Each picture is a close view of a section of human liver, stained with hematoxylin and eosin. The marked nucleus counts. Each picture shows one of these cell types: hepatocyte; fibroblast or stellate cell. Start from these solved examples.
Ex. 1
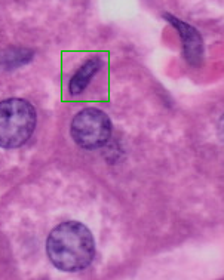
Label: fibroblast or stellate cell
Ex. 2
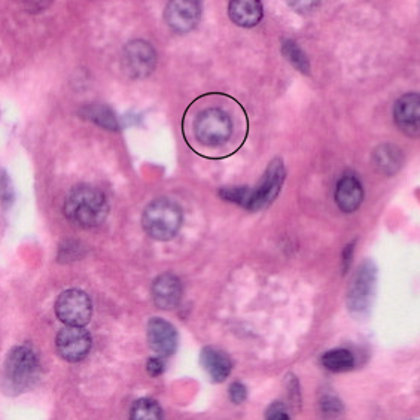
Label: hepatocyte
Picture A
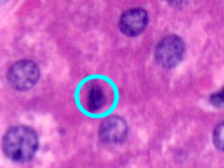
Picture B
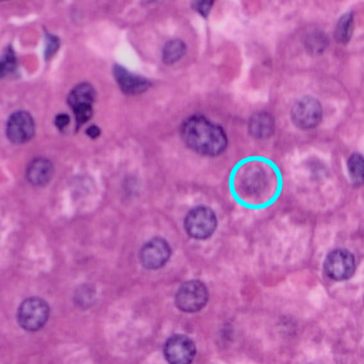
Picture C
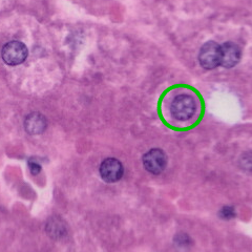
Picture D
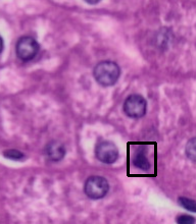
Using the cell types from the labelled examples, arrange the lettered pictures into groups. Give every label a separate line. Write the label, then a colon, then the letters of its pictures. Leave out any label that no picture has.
hepatocyte: B, C
fibroblast or stellate cell: A, D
